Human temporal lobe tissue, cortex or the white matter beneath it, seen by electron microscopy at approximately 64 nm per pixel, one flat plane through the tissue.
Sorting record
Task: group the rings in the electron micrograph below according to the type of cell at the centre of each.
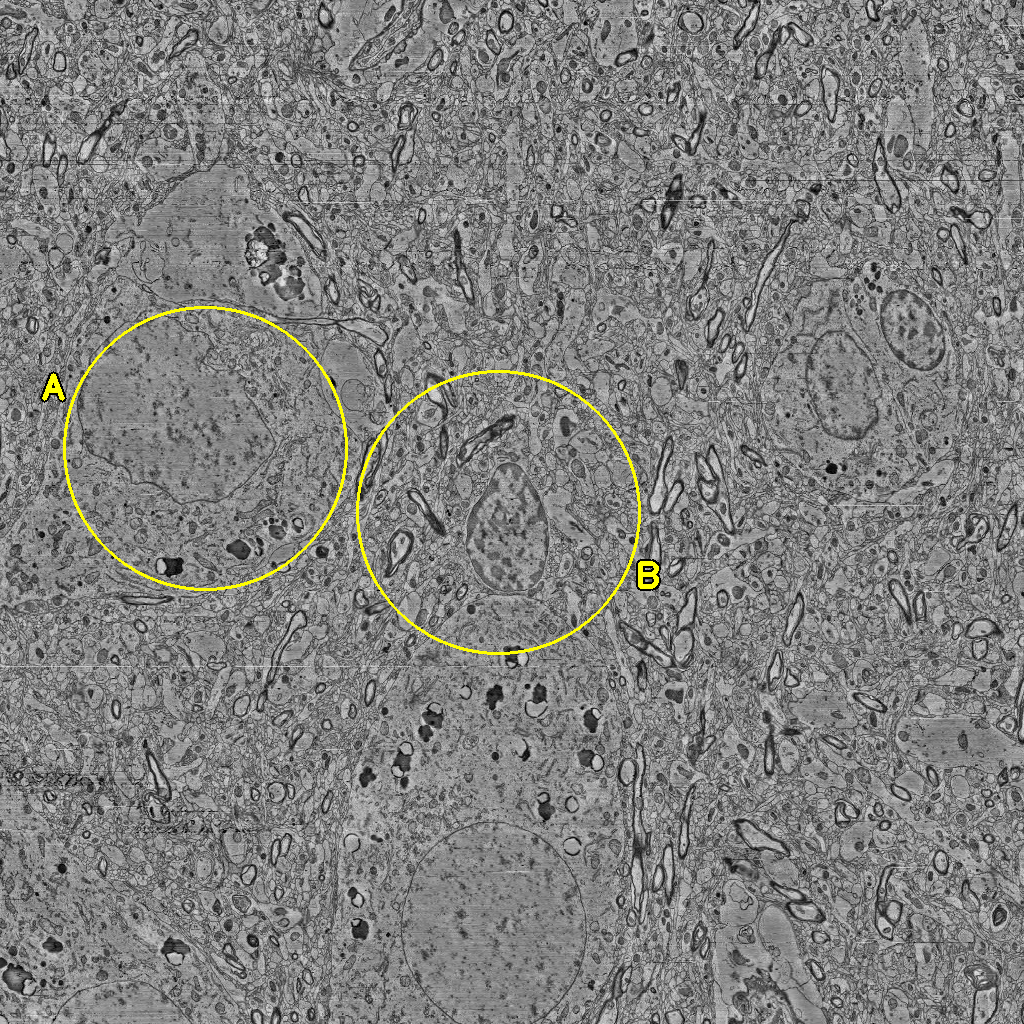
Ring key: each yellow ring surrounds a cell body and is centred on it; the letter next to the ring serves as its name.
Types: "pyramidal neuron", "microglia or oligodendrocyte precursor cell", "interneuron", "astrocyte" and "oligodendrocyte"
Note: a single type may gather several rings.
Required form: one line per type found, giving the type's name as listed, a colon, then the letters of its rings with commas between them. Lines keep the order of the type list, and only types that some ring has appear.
pyramidal neuron: A
microglia or oligodendrocyte precursor cell: B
